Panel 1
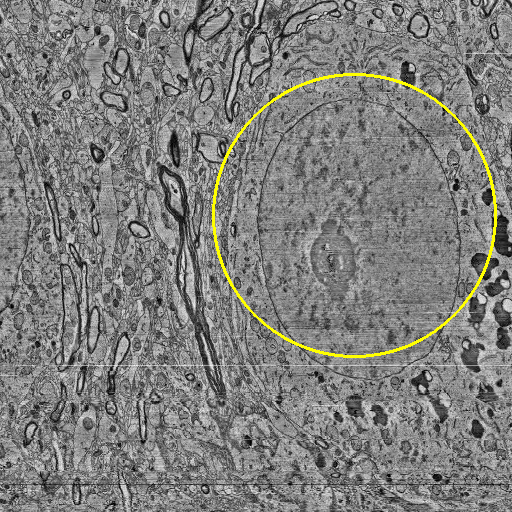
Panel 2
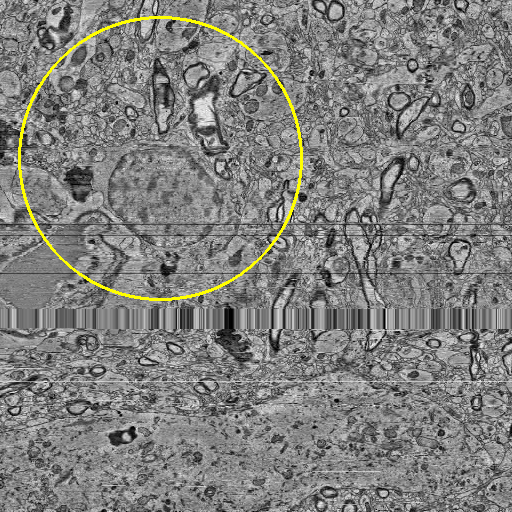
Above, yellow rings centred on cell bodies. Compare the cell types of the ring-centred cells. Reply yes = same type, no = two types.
no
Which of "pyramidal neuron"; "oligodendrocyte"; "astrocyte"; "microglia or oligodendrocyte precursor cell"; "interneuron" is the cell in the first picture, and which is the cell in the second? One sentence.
The two differ: the first cell is a pyramidal neuron and the second is an oligodendrocyte.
